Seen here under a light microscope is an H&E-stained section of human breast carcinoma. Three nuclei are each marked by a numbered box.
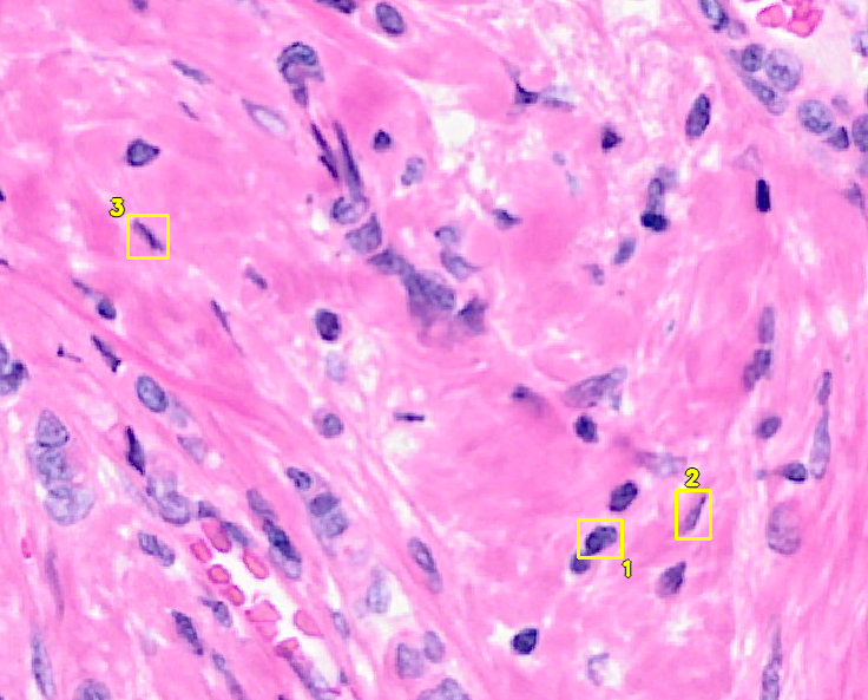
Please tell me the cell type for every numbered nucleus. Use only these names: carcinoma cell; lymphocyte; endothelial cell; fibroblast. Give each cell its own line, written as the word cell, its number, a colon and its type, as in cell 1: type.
cell 1: lymphocyte
cell 2: fibroblast
cell 3: fibroblast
